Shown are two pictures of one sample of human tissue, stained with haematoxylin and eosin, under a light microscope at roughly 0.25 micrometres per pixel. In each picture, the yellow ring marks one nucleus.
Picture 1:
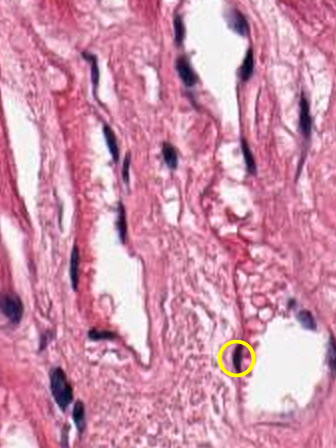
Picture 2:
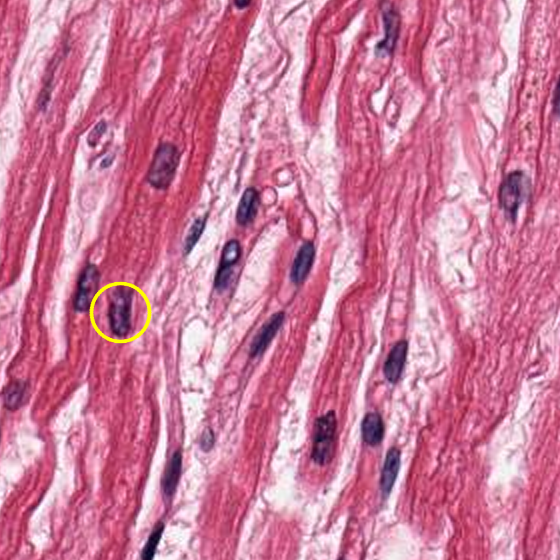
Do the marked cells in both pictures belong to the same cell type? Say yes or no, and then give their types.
No, the first is an endothelial cell and the second a cardiomyocyte.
